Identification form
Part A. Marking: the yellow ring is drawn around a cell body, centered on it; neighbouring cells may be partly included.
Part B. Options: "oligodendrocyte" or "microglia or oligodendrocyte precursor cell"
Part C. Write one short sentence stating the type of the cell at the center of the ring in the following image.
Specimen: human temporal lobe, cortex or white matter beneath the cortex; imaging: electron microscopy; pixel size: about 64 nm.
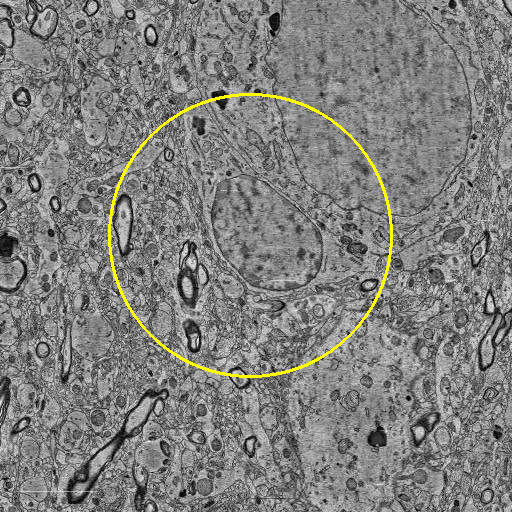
The center of the ring holds a microglial cell or oligodendrocyte precursor cell.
